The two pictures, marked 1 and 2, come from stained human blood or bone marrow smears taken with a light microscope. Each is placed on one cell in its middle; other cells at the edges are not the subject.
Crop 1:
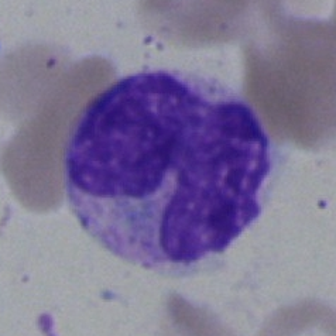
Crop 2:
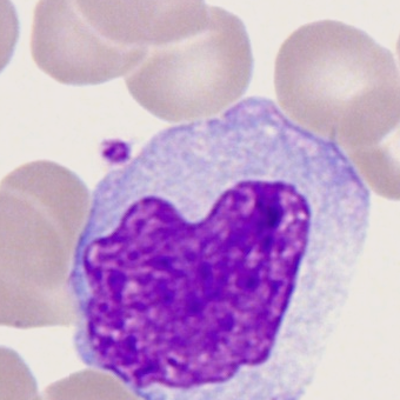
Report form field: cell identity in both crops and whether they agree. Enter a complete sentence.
Yes, it is monocytes that sit at the centre of both crops.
